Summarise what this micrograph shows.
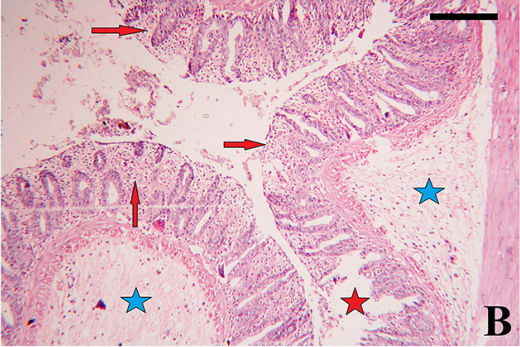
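This section of colon wall shows mucosa with crypts of glandular epithelium lying over a submucosa that is greatly widened. The submucosa beneath the mucosal folds is pale, loose and sparsely cellular, as if swollen with fluid. In places the lamina propria between the glands is crowded with small dark-purple nuclei of infiltrating cells. Parts of the mucosal surface are ragged and broken up rather than forming an even lining.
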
